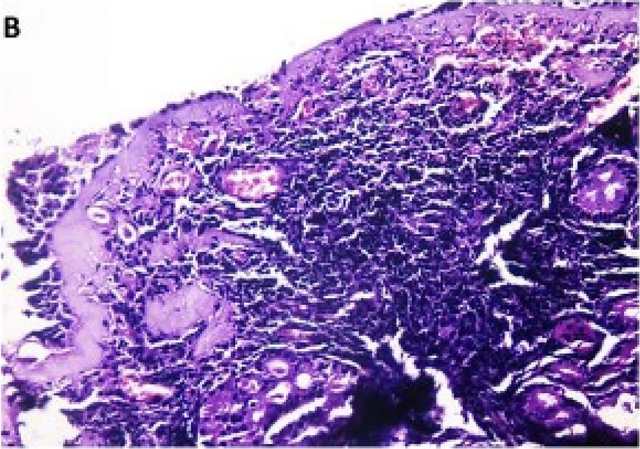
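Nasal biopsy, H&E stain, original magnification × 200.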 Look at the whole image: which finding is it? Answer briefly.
Dense lymphocytic infiltration.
